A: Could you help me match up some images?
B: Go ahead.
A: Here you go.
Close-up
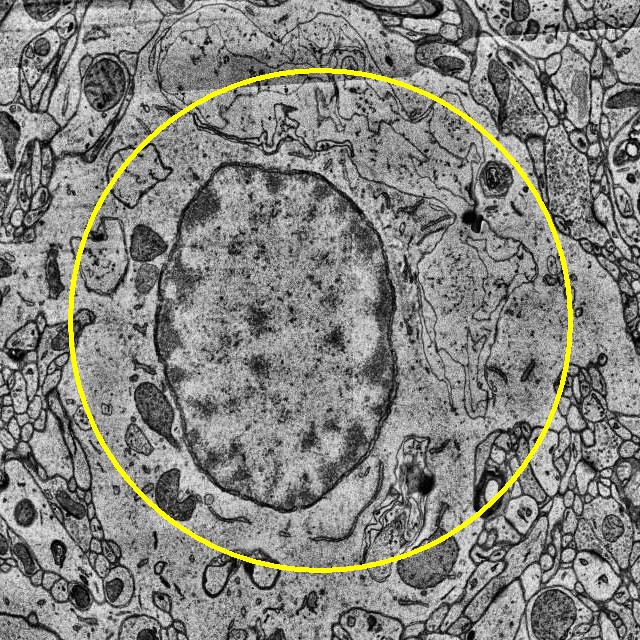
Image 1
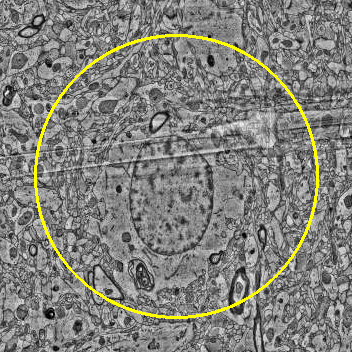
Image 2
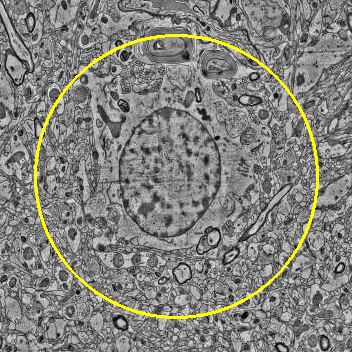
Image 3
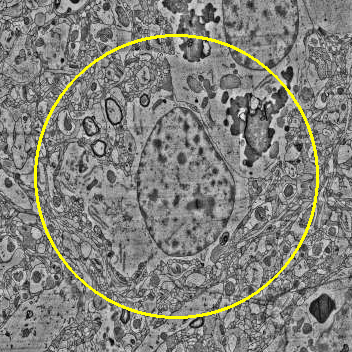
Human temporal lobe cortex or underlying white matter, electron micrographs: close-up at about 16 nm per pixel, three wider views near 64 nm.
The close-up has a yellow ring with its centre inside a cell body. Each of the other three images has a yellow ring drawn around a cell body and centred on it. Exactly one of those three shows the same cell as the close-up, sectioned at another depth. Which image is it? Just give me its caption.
Image 2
